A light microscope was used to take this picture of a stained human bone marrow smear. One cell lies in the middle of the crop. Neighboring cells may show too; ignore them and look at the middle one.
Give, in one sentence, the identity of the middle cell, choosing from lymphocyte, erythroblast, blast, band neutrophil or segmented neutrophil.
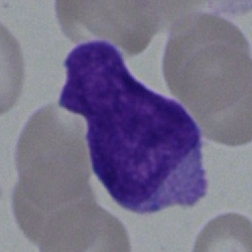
The cell centered in this field of view is a blast.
